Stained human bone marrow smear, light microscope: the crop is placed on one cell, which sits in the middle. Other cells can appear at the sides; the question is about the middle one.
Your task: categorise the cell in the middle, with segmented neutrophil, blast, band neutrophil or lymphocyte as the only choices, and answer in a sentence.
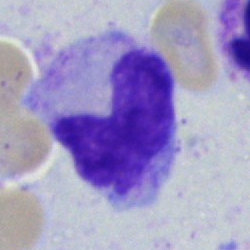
Regarding the central cell, it is a band neutrophil.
